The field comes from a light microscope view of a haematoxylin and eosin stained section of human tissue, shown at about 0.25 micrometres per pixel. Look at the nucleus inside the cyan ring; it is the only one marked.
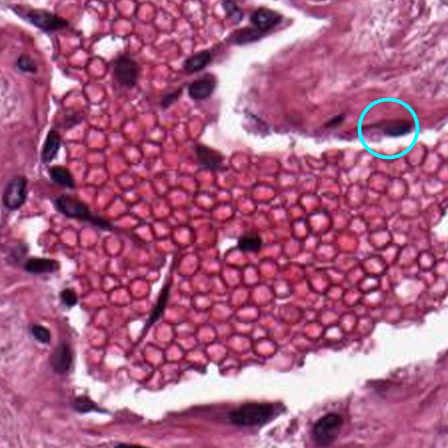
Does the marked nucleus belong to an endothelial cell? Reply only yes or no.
yes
